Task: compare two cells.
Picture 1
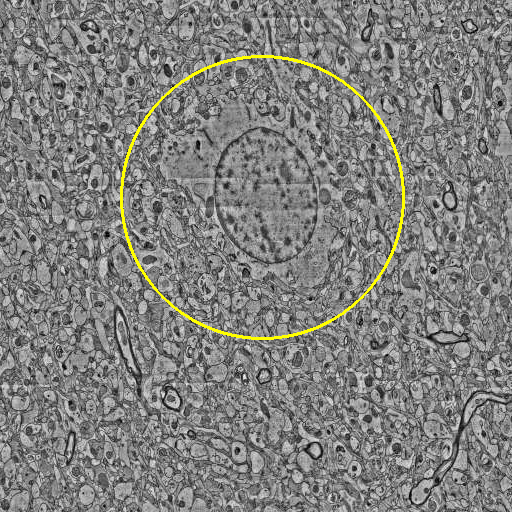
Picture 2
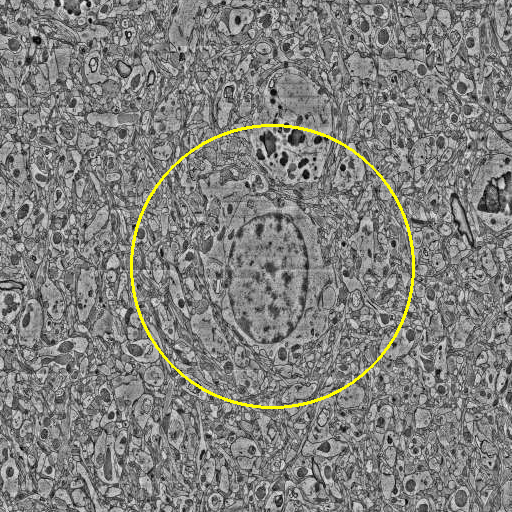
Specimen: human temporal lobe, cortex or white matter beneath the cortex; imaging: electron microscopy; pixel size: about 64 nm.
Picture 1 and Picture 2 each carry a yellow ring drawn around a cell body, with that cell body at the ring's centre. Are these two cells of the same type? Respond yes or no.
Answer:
yes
